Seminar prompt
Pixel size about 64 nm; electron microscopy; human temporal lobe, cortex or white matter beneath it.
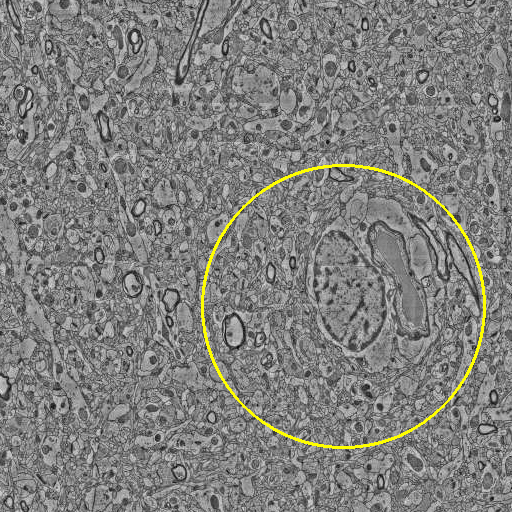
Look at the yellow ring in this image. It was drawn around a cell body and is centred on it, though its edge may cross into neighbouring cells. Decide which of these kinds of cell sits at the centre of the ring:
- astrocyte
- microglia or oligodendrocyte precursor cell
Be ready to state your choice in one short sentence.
The kind of cell at the ring's centre is a microglial cell or oligodendrocyte precursor cell.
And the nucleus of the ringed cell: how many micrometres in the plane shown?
About 7 by 4 micrometers; the nucleus is clearly longer than it is wide in this plane.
